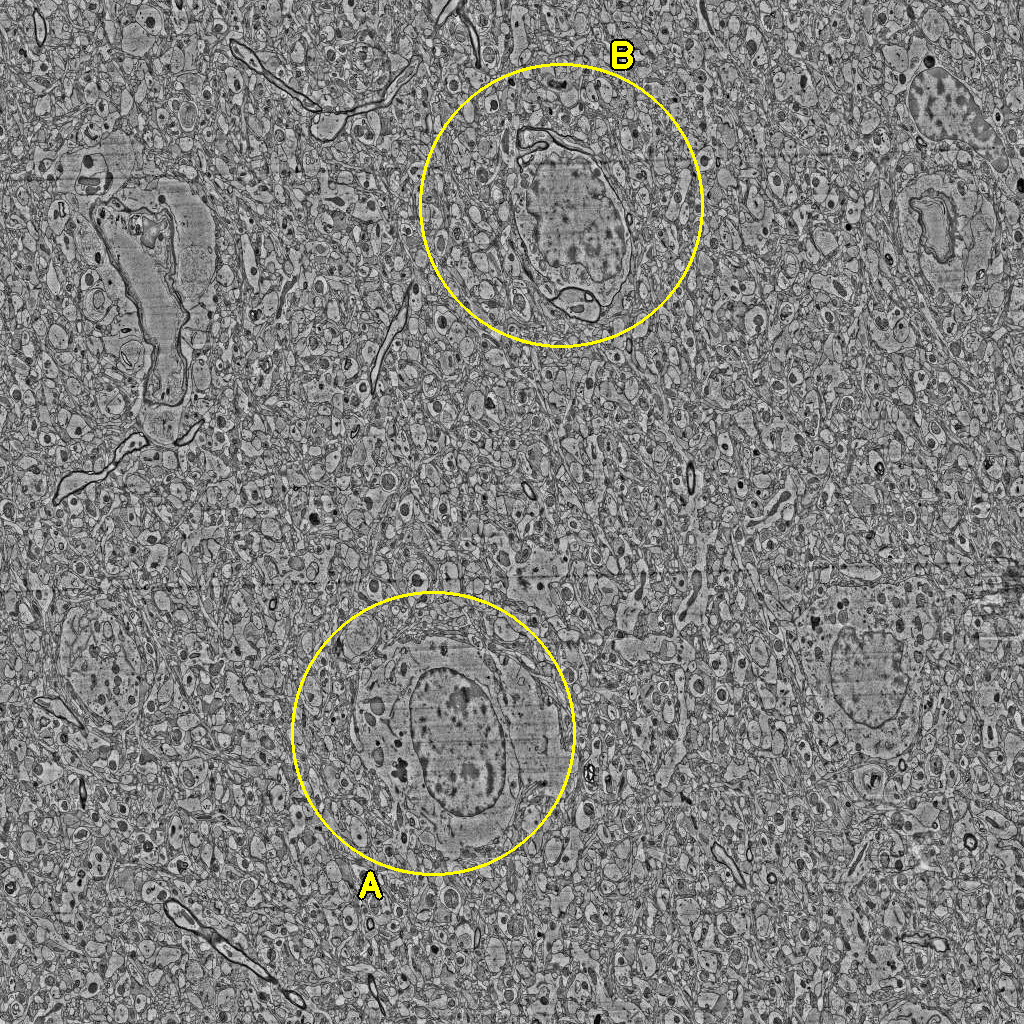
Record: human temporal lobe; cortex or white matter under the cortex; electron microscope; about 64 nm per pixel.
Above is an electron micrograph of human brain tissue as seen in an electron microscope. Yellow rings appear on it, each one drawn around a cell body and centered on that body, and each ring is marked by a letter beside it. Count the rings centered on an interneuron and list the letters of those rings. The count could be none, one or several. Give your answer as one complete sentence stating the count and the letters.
There is one ring, and one only, centred on an interneuron, and it is lettered B.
